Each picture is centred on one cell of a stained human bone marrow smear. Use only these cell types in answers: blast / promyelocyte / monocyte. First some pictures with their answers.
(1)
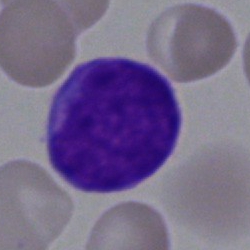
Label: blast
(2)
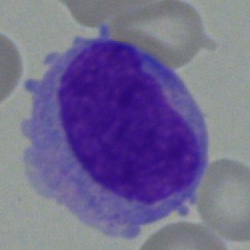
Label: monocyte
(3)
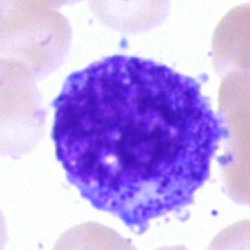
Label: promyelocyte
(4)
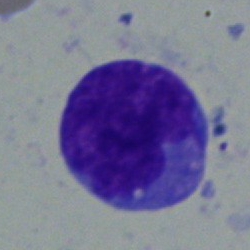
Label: blast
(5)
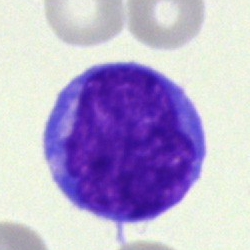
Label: blast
